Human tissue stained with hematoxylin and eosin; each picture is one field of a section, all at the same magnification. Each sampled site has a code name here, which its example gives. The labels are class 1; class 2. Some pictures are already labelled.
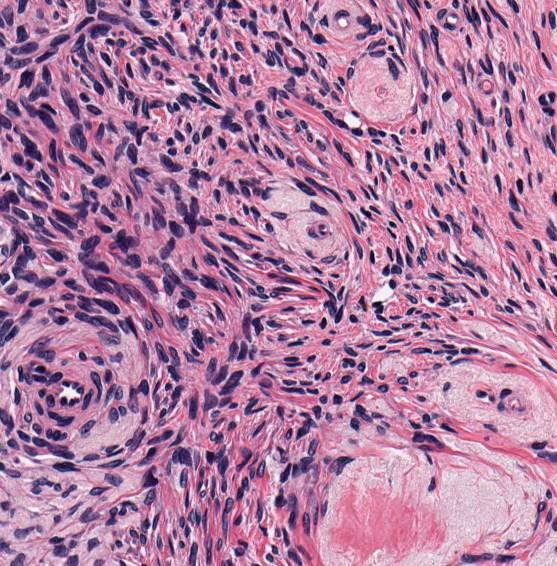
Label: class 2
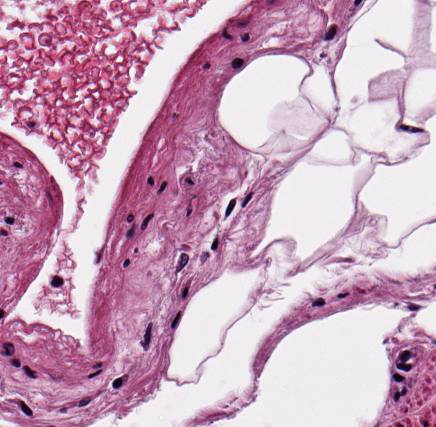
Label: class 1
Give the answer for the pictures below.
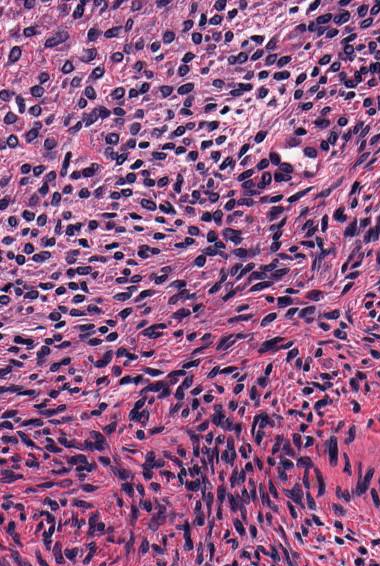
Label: class 2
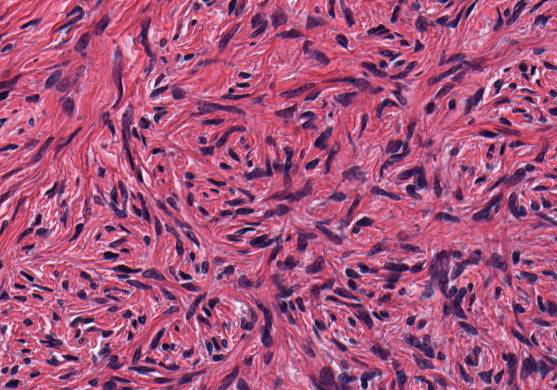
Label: class 2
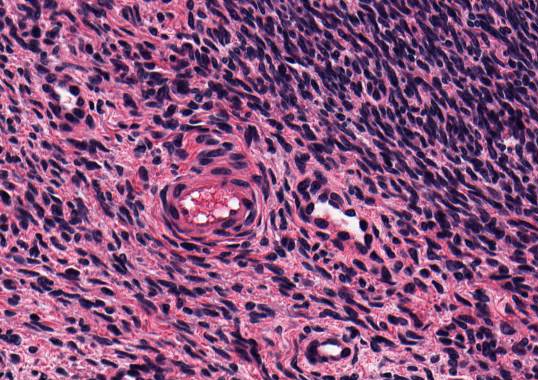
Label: class 2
